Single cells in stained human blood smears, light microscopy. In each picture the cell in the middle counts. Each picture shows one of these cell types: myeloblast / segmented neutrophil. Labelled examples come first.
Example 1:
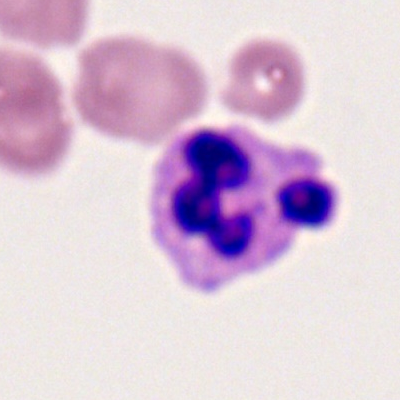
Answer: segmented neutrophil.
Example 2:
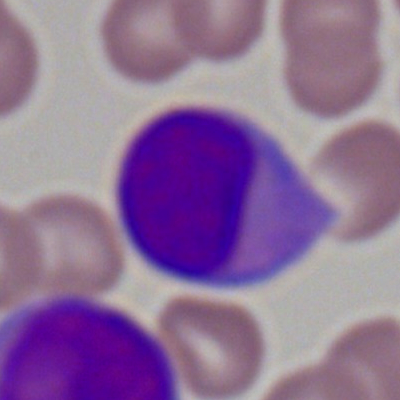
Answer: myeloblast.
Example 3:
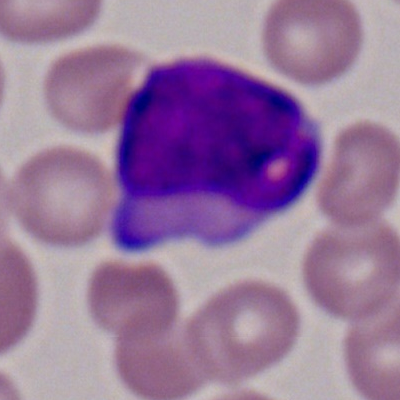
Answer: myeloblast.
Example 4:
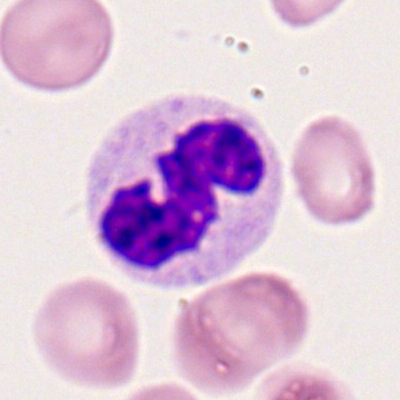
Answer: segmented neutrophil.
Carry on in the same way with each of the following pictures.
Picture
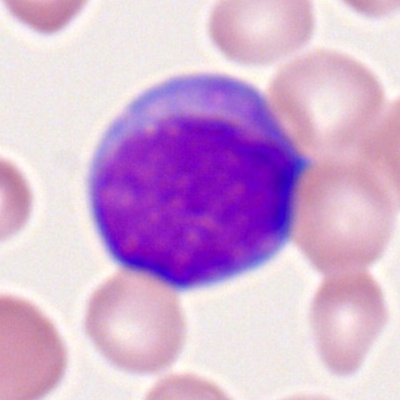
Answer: myeloblast.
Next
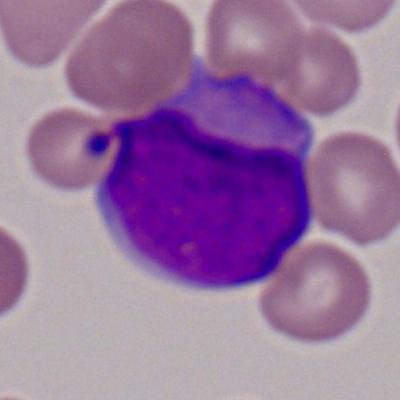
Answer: myeloblast.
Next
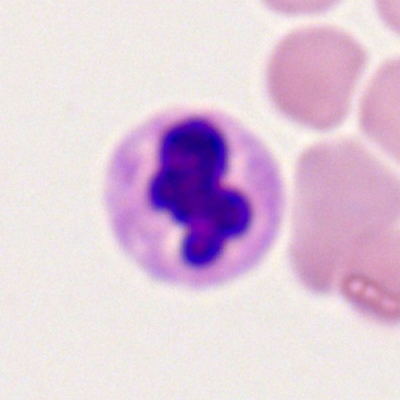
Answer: segmented neutrophil.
